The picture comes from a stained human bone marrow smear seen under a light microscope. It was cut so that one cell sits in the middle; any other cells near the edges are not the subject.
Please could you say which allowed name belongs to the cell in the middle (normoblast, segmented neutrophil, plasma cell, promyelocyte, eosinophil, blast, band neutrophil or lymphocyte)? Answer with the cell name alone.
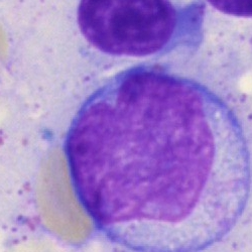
blast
